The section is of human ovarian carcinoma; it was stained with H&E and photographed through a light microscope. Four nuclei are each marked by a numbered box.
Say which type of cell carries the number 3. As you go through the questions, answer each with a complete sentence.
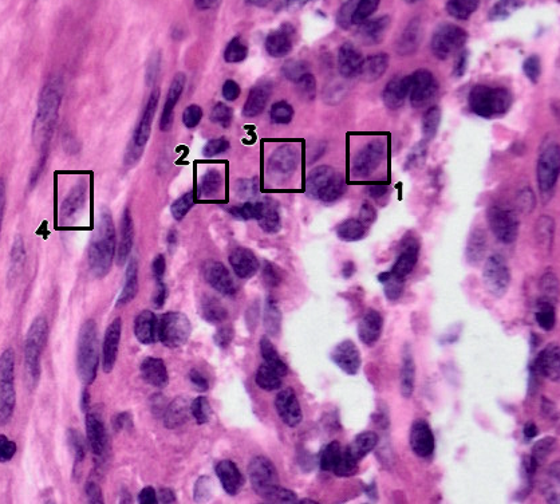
In this section, the cell tagged 3 is a carcinoma cell.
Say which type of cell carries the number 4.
Number 4 is placed on a fibroblast here.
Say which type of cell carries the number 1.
Recognised here as a carcinoma cell is the cell numbered 1.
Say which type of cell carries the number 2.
The cell referred to as 2 is a carcinoma cell.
